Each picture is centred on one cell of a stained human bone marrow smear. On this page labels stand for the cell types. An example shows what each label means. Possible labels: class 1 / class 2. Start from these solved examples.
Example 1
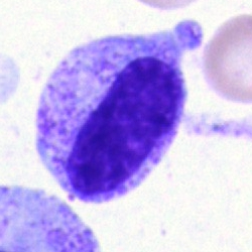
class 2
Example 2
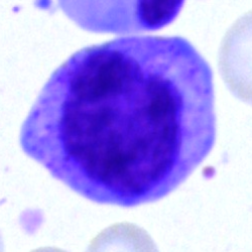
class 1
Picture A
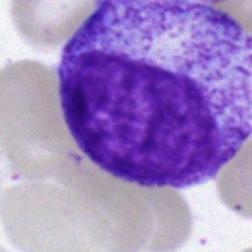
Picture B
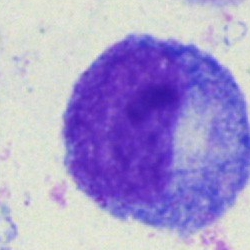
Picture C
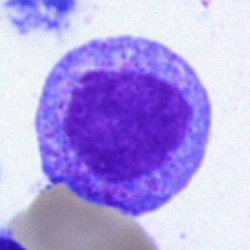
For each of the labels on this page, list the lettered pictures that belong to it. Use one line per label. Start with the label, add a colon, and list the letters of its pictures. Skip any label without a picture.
class 1: A, B, C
